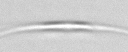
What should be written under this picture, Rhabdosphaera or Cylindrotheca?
Cylindrotheca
